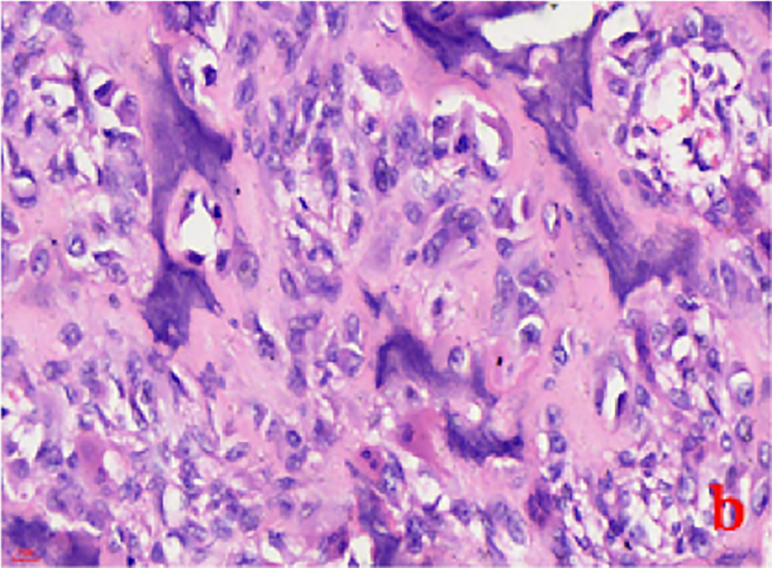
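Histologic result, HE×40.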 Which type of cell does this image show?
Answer: Heteromorphic osteoblast-like cells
